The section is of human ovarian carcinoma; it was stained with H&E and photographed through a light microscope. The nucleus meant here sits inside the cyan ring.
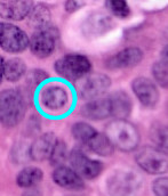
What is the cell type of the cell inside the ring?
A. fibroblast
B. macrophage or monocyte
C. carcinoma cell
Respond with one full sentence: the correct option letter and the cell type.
With the cell inside the ring being a macrophage or monocyte, option B is correct.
